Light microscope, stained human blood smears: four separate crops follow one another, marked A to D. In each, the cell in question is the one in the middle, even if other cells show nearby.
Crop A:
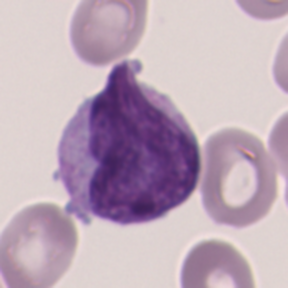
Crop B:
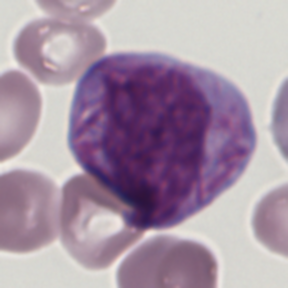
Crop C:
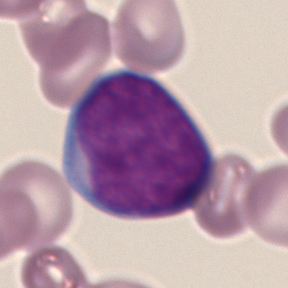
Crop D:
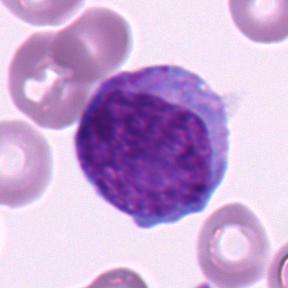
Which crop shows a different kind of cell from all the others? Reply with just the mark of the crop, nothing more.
C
